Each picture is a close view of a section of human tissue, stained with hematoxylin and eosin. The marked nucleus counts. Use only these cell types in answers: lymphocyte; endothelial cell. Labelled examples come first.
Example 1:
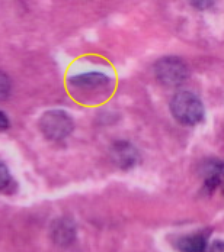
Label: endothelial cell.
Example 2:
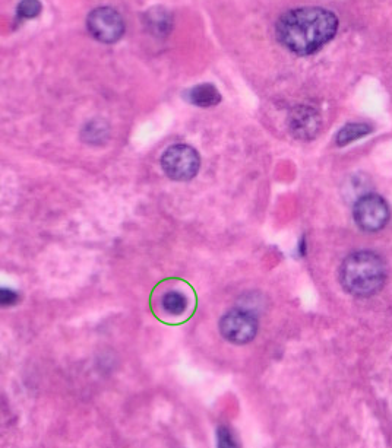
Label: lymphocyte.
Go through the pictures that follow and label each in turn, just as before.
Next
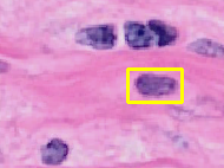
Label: lymphocyte.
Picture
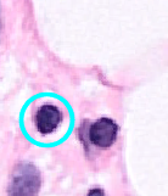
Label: lymphocyte.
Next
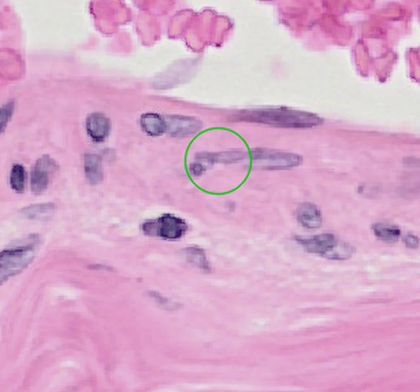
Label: endothelial cell.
